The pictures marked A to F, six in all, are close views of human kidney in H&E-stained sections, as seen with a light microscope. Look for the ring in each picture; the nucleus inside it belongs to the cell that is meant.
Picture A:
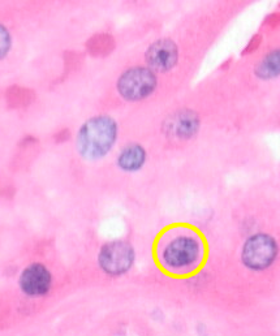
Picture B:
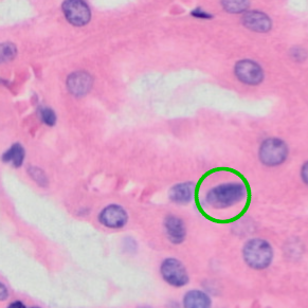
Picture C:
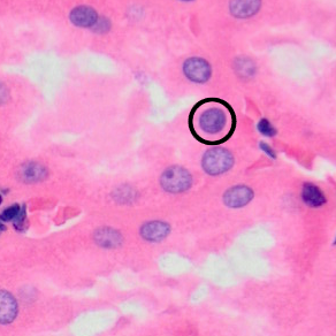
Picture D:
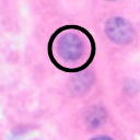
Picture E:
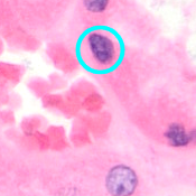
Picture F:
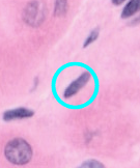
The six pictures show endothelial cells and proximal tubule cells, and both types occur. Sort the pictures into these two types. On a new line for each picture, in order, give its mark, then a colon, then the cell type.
A: proximal tubule cell
B: endothelial cell
C: proximal tubule cell
D: proximal tubule cell
E: proximal tubule cell
F: endothelial cell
